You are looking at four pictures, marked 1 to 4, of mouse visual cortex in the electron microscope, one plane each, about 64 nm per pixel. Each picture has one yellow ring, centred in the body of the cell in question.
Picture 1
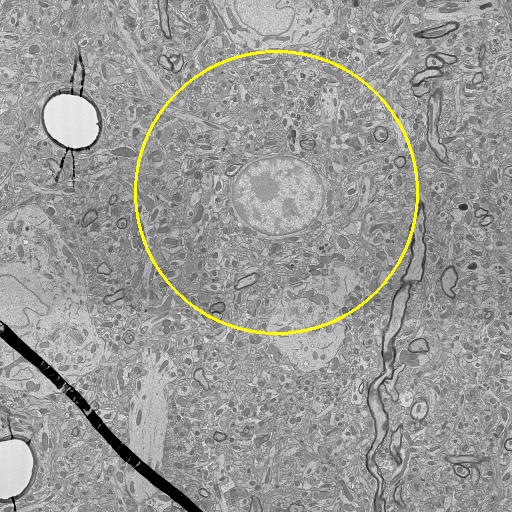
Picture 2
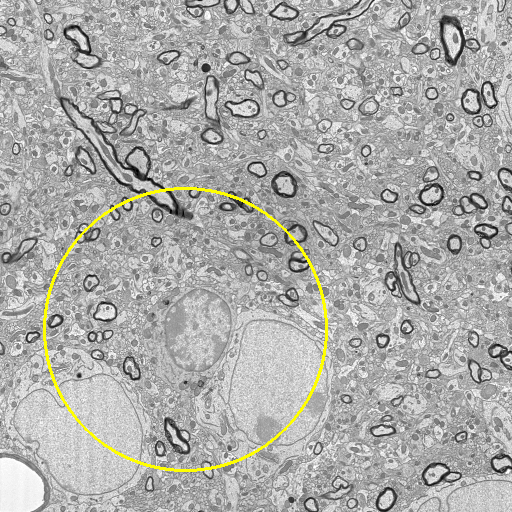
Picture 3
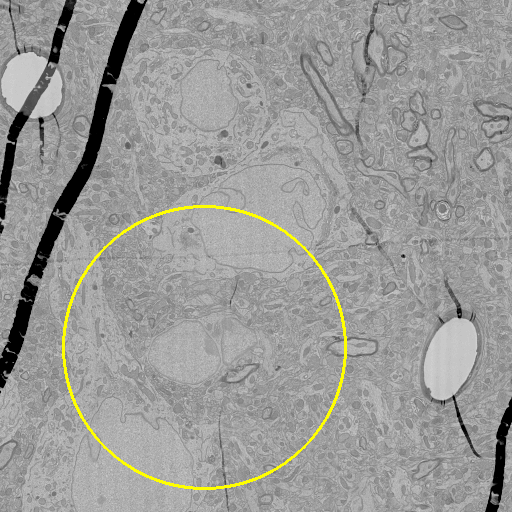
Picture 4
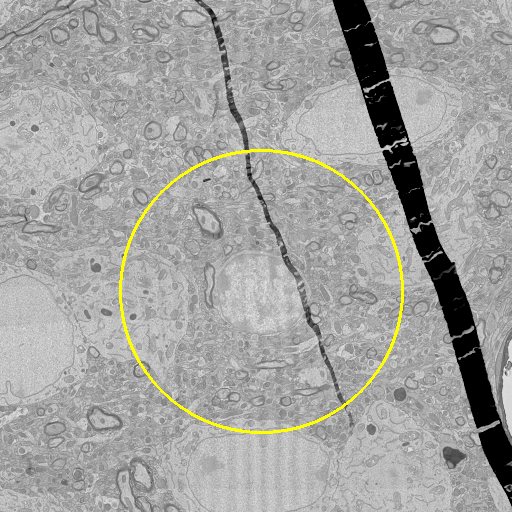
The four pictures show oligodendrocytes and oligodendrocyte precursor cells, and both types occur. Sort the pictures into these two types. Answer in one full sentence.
Pictures 1, 2 and 4 show oligodendrocytes, and picture 3 shows an oligodendrocyte precursor cell.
